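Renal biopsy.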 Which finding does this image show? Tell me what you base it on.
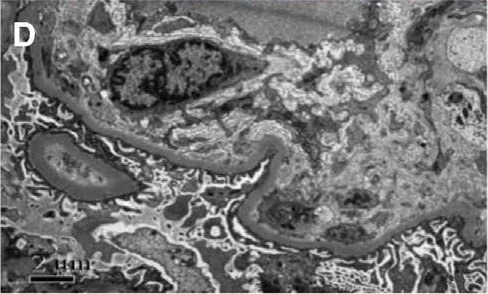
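Thickening in the inner loose layer of glomerular basement membrane. A long wavy dark basement membrane band runs across the field. Beneath the dense band lies a broad pale, loose-textured layer. The capillary wall is much wider than a thin single membrane.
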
